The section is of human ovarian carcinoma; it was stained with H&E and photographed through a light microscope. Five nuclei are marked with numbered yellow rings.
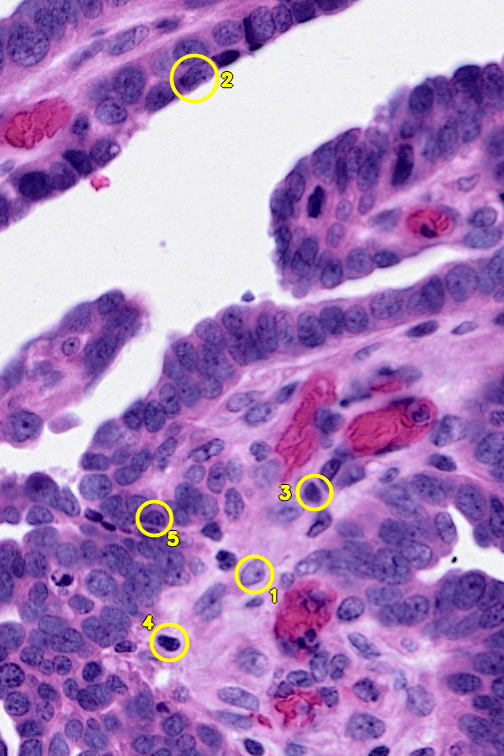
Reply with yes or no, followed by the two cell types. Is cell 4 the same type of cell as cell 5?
No, the cell tagged 4 is a lymphocyte, whereas the cell tagged 5 is a carcinoma cell.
